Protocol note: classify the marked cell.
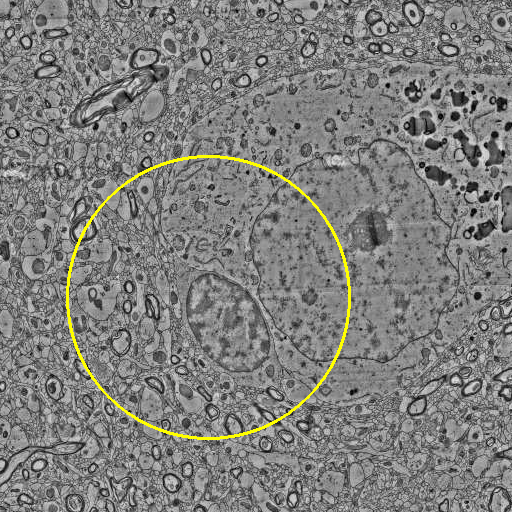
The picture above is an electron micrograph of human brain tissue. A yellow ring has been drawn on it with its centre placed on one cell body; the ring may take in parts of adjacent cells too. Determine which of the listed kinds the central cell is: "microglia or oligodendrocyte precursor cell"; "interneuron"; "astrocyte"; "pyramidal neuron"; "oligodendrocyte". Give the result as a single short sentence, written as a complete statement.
The central cell is an oligodendrocyte.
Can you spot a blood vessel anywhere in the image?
No, no vessel appears in the picture.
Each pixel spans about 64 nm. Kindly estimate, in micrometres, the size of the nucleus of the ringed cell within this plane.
About 7 by 4 micrometers; the nucleus is clearly longer than it is wide in this plane.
